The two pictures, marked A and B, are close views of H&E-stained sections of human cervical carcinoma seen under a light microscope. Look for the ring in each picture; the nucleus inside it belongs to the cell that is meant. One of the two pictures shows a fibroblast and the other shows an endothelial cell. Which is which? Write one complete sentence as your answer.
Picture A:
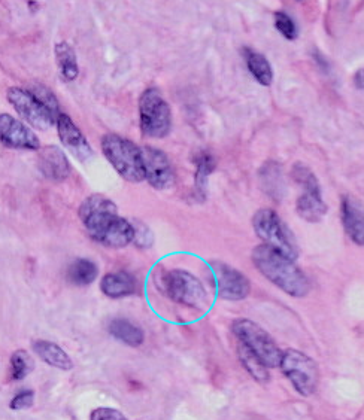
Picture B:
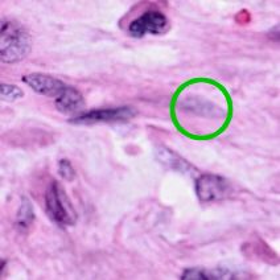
In picture A the cell is an endothelial cell; in picture B, a fibroblast.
